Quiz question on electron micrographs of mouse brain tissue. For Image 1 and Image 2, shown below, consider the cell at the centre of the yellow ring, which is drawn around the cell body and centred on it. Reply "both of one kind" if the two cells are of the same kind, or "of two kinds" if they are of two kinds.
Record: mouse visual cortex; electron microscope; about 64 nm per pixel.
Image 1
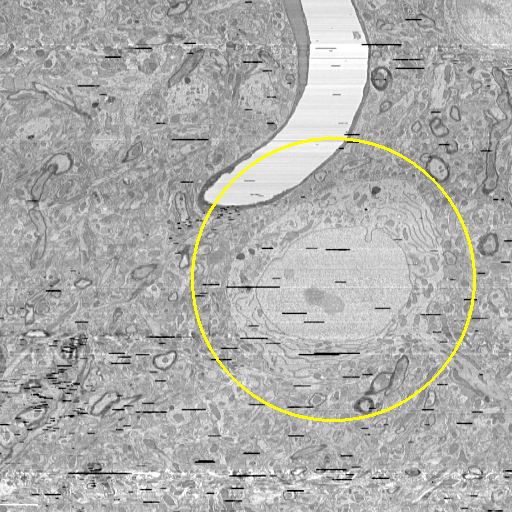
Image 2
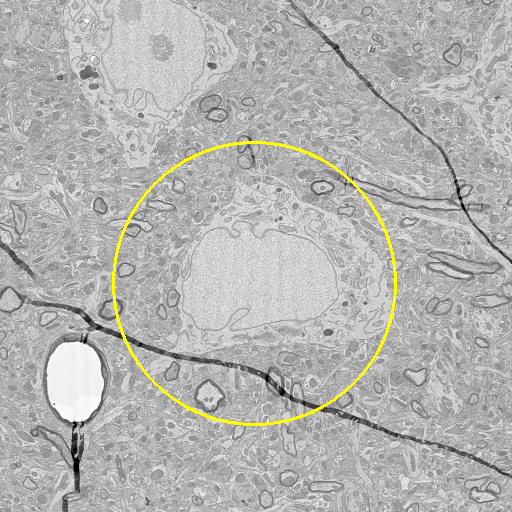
both of one kind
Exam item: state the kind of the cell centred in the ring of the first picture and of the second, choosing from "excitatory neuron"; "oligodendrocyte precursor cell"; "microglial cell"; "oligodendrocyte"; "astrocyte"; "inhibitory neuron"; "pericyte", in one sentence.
In both pictures the ring is centred on an excitatory neuron.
